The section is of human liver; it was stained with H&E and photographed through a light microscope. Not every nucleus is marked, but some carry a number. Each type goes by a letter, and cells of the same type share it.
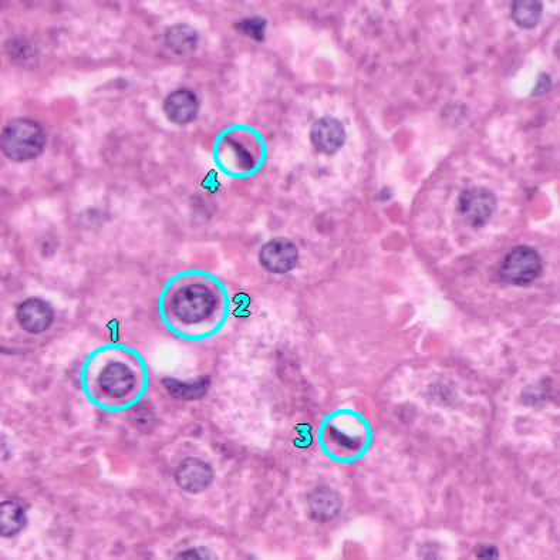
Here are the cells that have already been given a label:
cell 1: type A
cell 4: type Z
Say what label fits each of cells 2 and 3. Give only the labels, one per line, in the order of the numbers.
type A
type Z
